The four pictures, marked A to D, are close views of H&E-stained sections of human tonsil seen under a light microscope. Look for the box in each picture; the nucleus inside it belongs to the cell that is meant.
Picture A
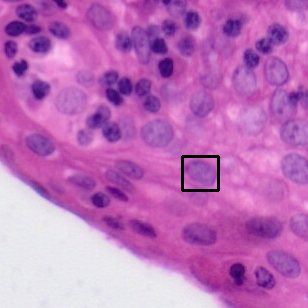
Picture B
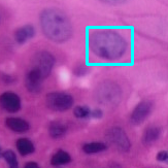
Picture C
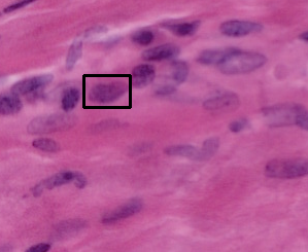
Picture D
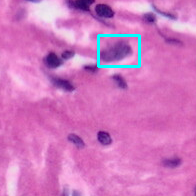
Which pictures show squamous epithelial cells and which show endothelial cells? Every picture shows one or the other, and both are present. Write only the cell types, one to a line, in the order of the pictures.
squamous epithelial cell
squamous epithelial cell
endothelial cell
endothelial cell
